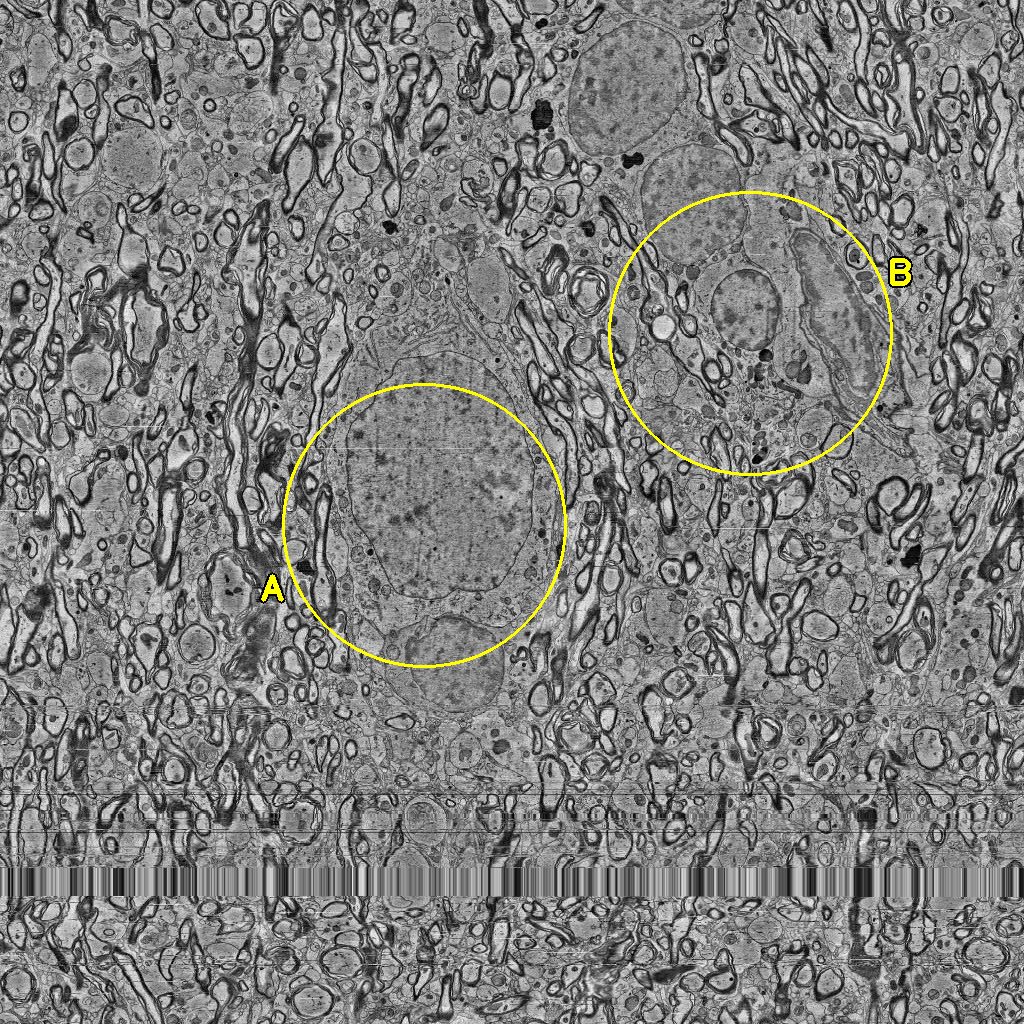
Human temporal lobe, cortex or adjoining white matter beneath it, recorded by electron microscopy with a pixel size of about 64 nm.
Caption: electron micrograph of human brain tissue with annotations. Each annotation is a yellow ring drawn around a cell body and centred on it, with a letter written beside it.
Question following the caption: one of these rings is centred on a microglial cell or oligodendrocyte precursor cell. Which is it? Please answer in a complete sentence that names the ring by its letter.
The ring with the letter B is centred on it.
